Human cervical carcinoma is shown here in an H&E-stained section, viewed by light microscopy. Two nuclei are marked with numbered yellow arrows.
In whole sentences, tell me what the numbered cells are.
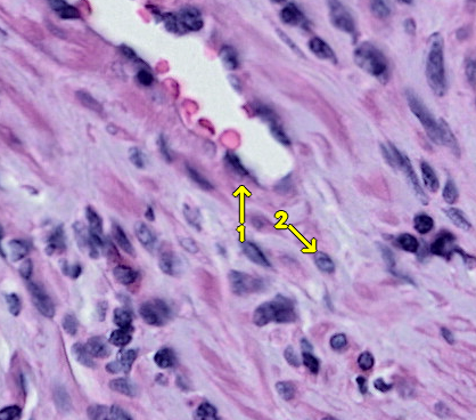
Cell 1 is an endothelial cell and cell 2 is a smooth muscle cell.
